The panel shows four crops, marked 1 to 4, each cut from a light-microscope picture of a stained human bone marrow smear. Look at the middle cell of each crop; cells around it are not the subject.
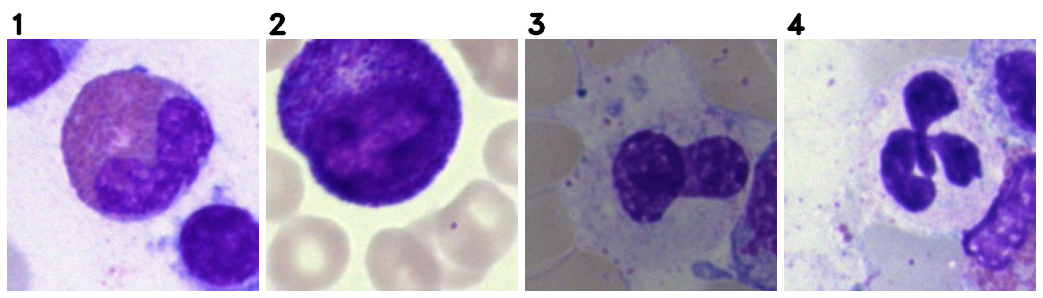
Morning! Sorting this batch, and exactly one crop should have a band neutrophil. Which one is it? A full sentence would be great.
Of all the crops, crop 3 is the one showing a band neutrophil.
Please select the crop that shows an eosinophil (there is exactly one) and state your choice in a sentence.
Crop 1, and no other, shows an eosinophil.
